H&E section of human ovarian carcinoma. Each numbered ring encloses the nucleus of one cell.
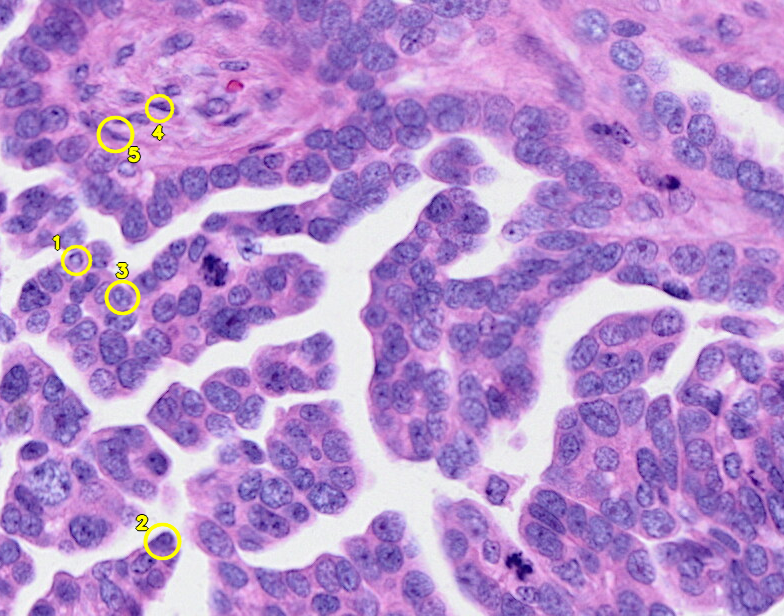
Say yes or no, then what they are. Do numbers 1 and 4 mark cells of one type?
No, whereas cell 4 is a fibroblast, cell 1 is a macrophage or monocyte.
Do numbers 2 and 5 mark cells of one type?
No, cell 2 is a carcinoma cell whereas cell 5 is a fibroblast.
